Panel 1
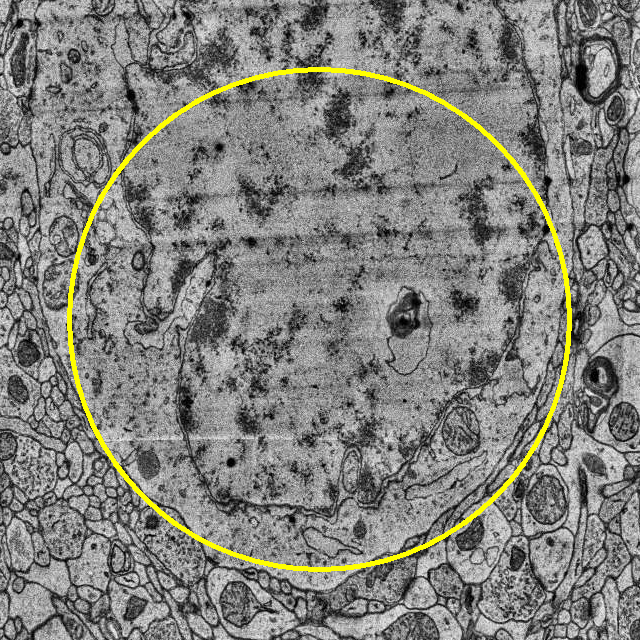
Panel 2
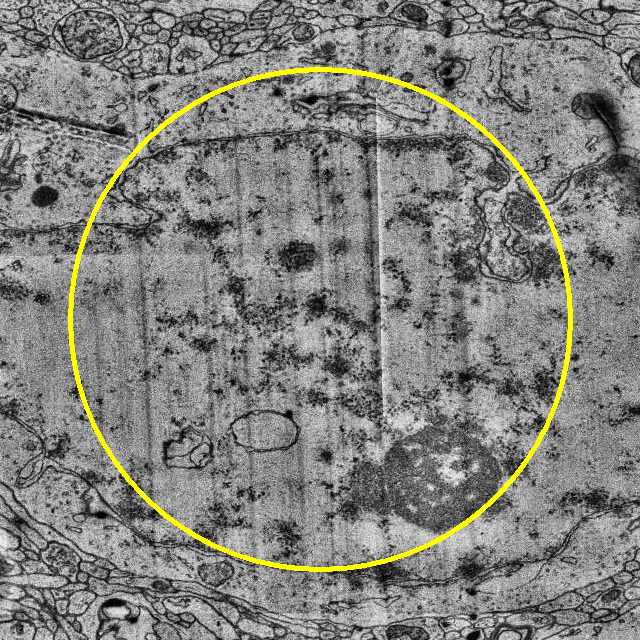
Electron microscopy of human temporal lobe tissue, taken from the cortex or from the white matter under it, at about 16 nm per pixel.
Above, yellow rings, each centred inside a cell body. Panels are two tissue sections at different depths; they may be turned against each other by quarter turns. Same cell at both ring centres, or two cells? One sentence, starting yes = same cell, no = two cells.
Yes, only one cell is involved, and both rings mark it.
